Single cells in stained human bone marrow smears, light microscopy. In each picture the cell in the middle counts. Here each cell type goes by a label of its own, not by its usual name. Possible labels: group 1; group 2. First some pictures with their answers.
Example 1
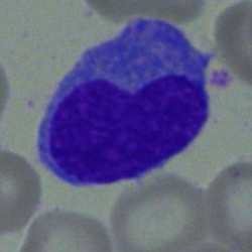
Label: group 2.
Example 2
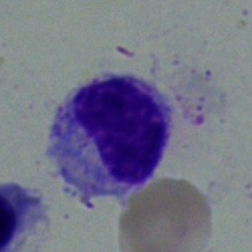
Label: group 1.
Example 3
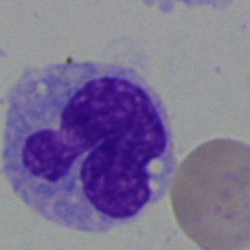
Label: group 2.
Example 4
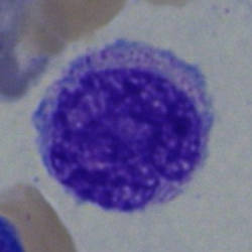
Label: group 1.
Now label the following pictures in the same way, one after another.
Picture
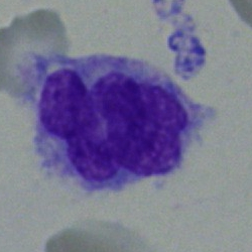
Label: group 2.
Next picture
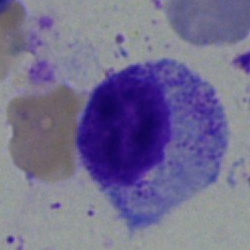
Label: group 1.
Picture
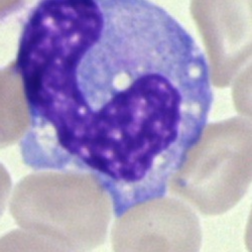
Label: group 2.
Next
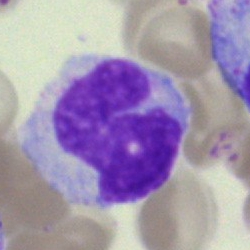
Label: group 2.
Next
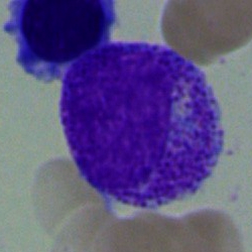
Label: group 1.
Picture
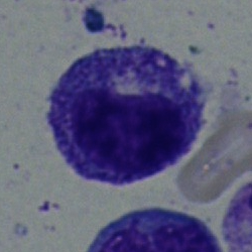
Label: group 1.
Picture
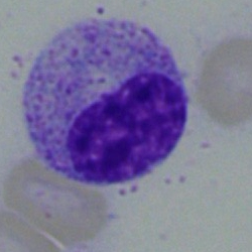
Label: group 1.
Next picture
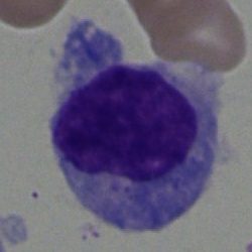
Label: group 2.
